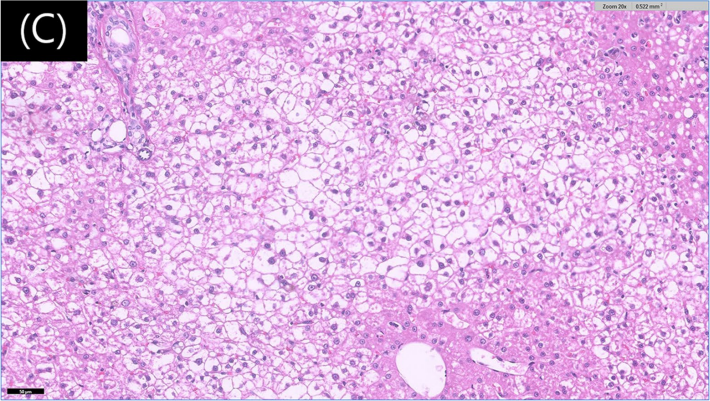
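Liver cells here are markedly swollen, their cytoplasm pale and cleared with a fine lacy network of pink strands instead of the usual even pink. A small vessel with a thin wall lies at the upper left and a clear vascular space at the bottom. Toward the upper right the cells look pinker and less swollen, with some small round clear droplets. This diffuse clearing and swelling of liver cells is the picture of vacuolar hepatopathy.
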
